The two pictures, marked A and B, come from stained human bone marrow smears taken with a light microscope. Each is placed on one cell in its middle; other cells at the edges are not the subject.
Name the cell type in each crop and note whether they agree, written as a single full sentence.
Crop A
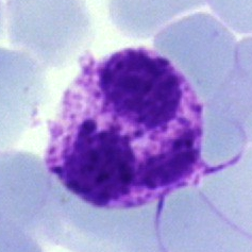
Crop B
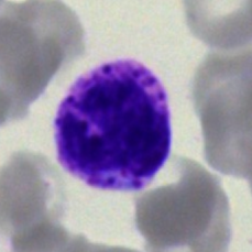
Yes, the central cells, in both crops, are basophils.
